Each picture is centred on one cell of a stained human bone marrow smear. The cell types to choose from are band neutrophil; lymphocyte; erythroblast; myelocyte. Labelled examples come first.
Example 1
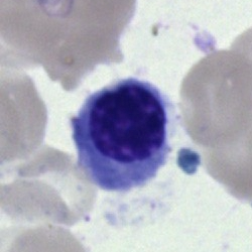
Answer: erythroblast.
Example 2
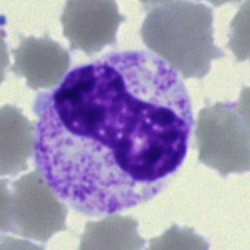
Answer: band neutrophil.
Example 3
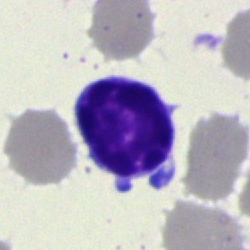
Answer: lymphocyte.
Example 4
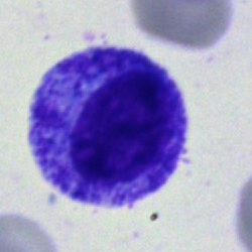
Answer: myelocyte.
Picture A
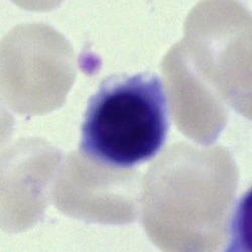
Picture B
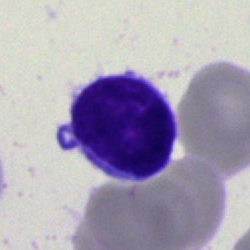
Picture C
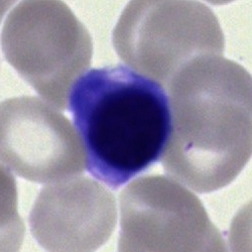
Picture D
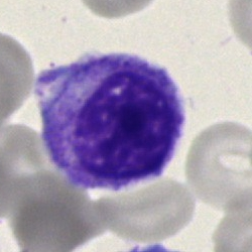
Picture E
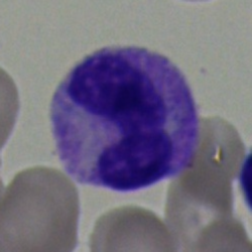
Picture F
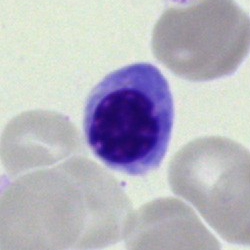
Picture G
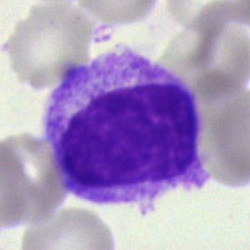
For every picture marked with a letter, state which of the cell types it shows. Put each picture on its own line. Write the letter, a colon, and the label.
A: erythroblast.
B: lymphocyte.
C: erythroblast.
D: myelocyte.
E: band neutrophil.
F: erythroblast.
G: myelocyte.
